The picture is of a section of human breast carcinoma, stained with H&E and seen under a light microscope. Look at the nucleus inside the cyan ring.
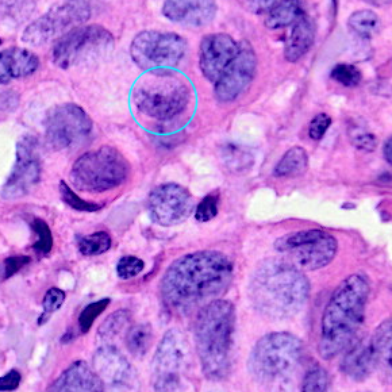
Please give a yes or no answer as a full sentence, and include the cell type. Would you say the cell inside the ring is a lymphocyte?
No; the cell inside the ring should be labelled a carcinoma cell rather than a lymphocyte.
